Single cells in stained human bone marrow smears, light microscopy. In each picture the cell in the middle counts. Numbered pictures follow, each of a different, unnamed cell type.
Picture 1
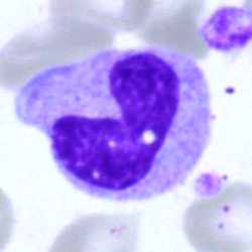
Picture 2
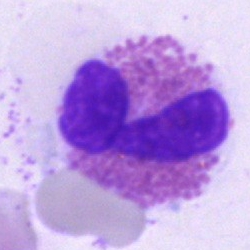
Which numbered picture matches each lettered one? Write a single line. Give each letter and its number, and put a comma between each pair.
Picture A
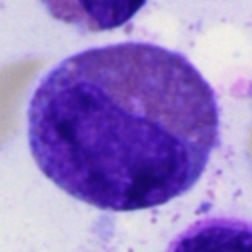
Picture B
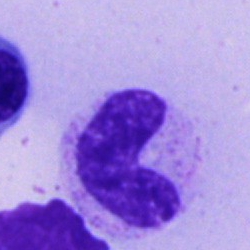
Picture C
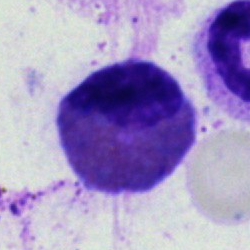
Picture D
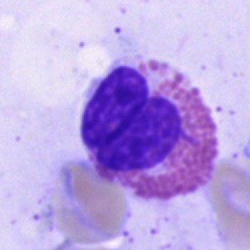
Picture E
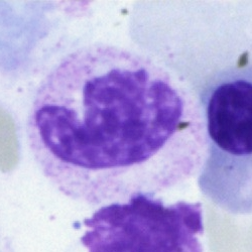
A 2, B 1, C 2, D 2, E 1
